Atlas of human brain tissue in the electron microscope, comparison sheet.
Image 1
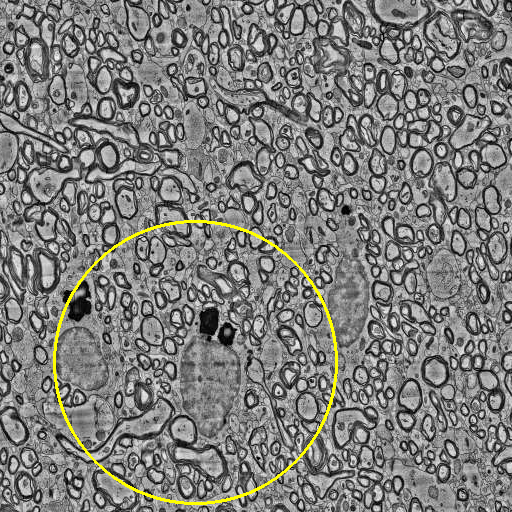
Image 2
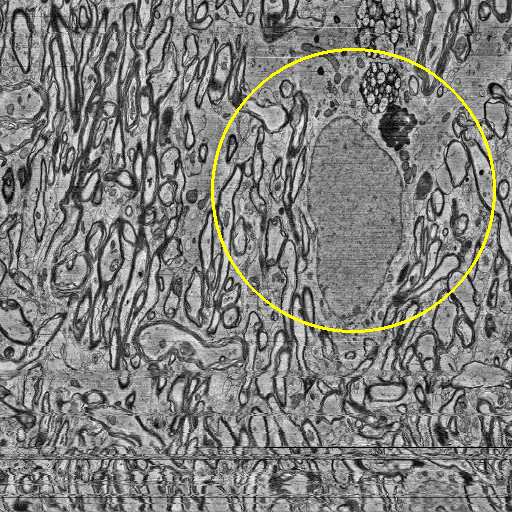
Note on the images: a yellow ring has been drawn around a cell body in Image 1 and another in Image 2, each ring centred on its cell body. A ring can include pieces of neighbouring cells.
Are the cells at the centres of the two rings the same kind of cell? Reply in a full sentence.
No, the two cells are of two kinds.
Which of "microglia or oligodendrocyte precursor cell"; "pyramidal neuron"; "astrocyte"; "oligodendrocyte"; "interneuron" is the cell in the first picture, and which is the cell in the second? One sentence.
The two differ: the first cell is an oligodendrocyte and the second is an astrocyte.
